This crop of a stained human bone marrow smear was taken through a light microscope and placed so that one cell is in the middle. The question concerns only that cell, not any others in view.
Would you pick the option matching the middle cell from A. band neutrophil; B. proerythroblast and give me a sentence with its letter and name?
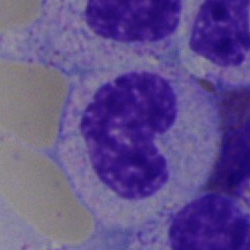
The correct option here is A; the middle cell is a band neutrophil.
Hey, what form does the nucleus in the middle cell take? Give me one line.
Have a look at the nucleus, which is one compact mass, round, oval or kidney-shaped.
